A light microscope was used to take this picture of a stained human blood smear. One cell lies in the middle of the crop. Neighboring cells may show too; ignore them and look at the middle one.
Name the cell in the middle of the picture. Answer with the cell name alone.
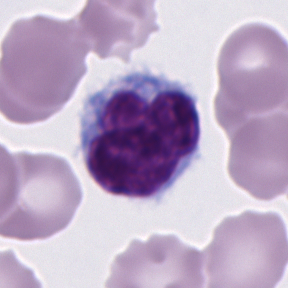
hairy cell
